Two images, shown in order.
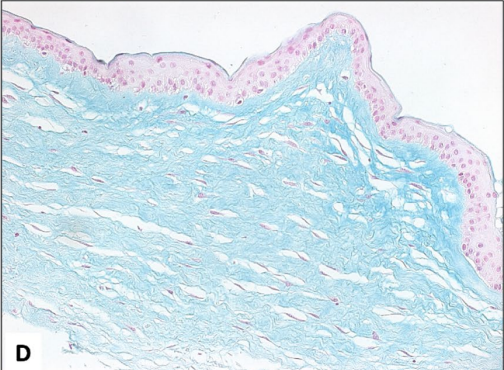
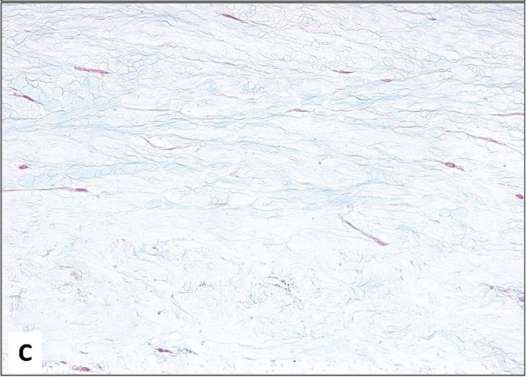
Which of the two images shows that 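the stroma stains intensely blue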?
The first image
